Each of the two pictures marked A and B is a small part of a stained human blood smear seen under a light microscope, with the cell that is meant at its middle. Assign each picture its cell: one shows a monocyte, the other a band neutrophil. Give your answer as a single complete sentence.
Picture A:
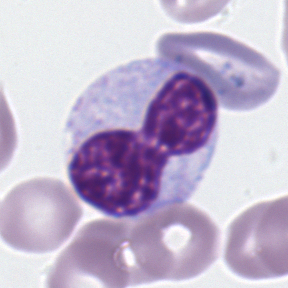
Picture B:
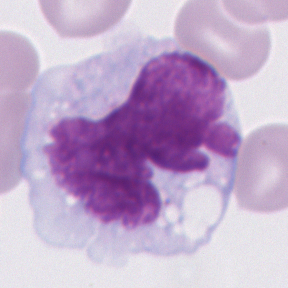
Picture A shows a band neutrophil and picture B shows a monocyte.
